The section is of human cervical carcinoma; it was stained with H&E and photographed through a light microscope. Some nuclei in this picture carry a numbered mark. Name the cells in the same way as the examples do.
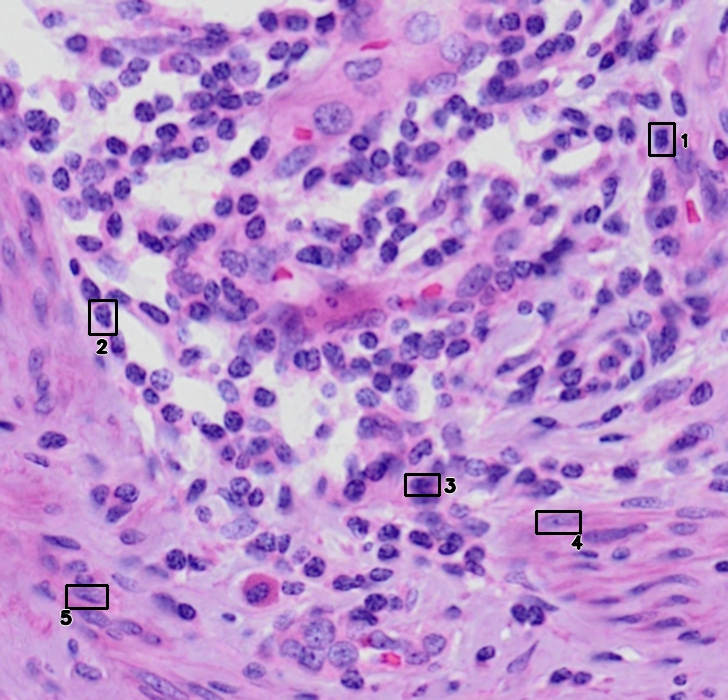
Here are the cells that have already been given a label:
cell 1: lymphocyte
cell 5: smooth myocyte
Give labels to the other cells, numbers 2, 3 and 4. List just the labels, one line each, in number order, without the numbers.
lymphocyte
lymphocyte
smooth myocyte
